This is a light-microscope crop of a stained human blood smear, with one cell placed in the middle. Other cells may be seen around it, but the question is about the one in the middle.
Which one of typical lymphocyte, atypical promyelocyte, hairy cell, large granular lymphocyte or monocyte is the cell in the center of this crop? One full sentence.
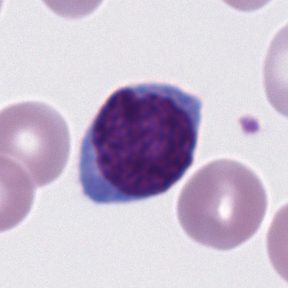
Looking at the middle of the crop, the cell there is a typical lymphocyte.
